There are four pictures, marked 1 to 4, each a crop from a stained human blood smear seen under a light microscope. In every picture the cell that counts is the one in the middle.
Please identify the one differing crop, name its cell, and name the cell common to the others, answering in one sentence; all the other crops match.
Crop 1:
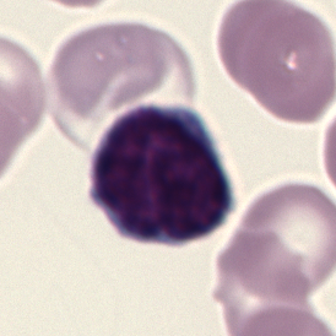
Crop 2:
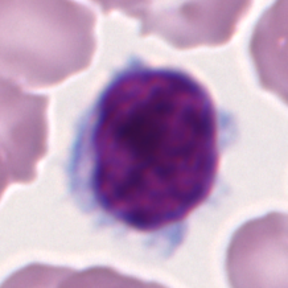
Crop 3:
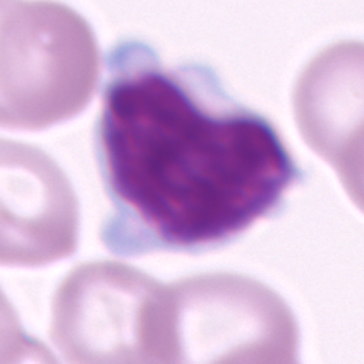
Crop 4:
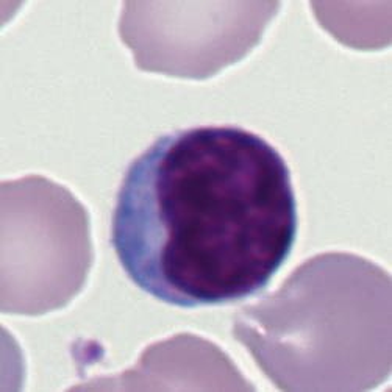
Of all the crops, only crop 2 shows a hairy cell; the others show typical lymphocytes.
